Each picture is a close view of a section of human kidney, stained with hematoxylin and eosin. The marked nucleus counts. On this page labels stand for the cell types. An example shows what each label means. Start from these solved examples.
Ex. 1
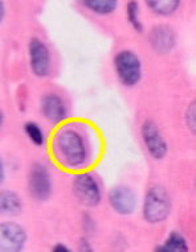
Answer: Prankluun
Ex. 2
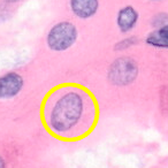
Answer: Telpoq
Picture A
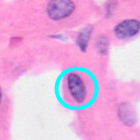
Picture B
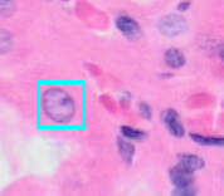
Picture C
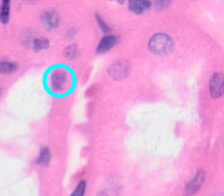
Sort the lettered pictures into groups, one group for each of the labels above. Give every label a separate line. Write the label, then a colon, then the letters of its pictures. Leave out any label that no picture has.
Prankluun: A, C
Telpoq: B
